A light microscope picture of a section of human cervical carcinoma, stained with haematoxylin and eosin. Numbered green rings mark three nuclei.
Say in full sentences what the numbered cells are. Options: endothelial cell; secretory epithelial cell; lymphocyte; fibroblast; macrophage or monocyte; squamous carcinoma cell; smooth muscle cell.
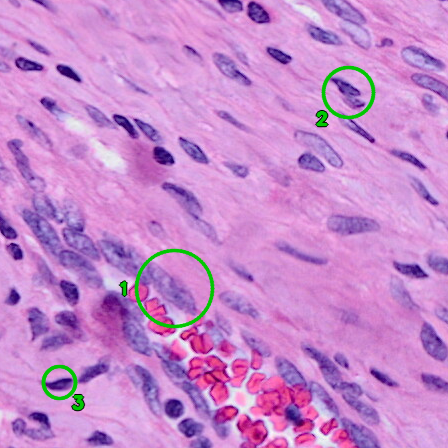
Cell 1 is an endothelial cell. Cells 2 and 3 are fibroblasts.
